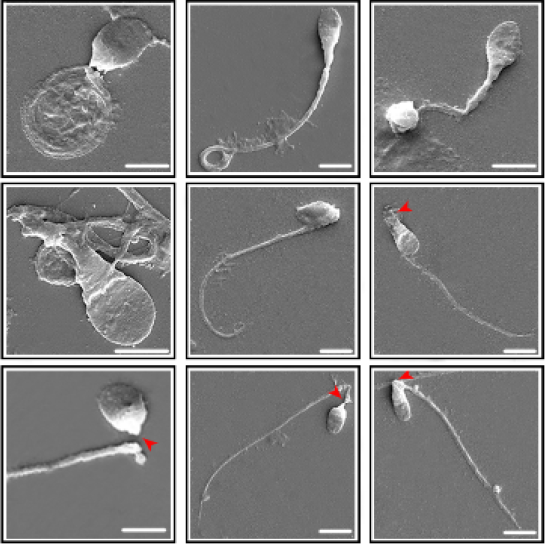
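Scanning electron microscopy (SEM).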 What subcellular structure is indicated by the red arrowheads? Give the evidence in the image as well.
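Arrowheads mark the junction between head and tail. The marked region lies at the base of the head.
Hence: sperm-head connecting piece.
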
